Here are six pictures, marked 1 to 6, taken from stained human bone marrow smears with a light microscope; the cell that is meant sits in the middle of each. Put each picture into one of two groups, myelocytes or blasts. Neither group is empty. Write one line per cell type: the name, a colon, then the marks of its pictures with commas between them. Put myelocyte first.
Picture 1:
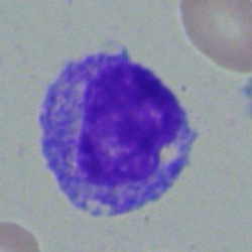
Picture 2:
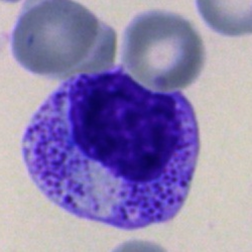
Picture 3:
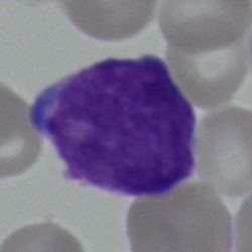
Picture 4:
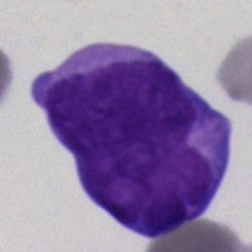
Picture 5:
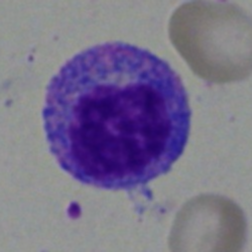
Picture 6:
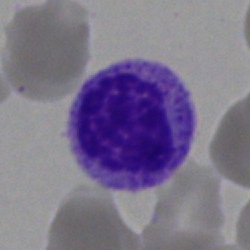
myelocyte: 1, 2, 5, 6
blast: 3, 4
